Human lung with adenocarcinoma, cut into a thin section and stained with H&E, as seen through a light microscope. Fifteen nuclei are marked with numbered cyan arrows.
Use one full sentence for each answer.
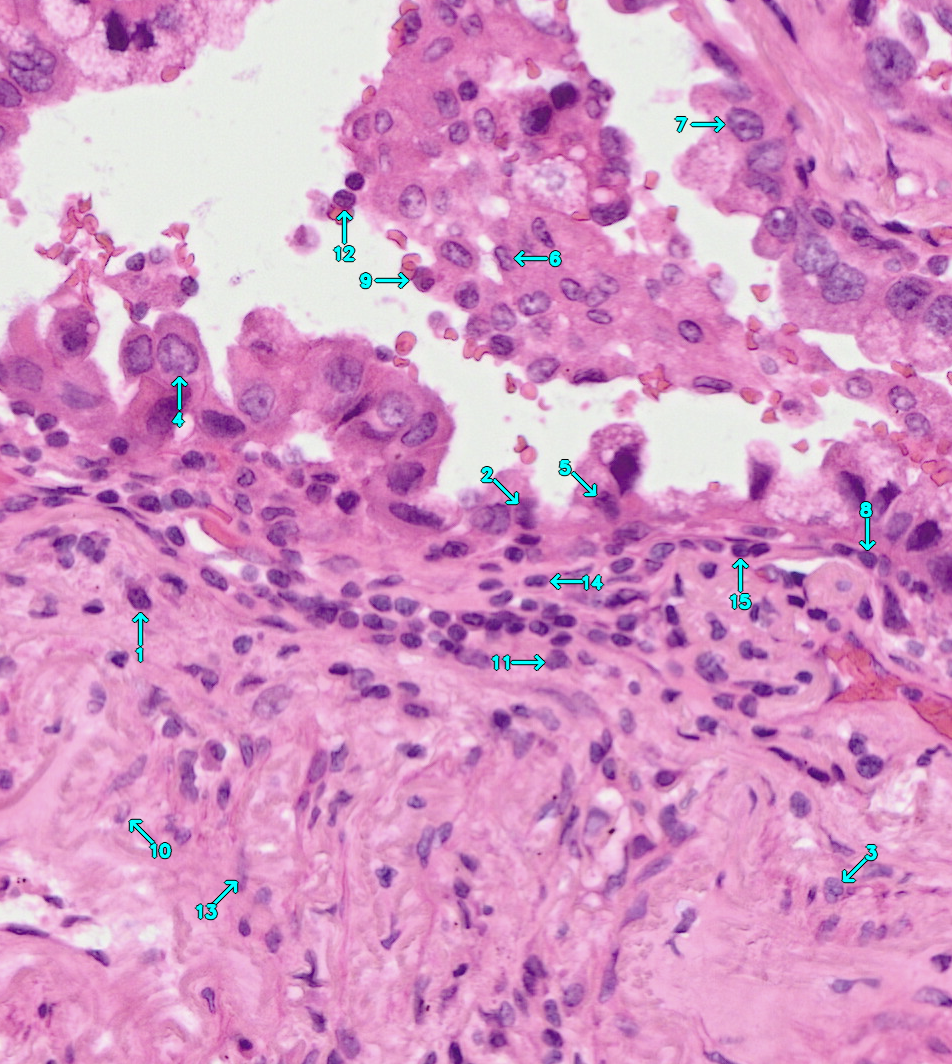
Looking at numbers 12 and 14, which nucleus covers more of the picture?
At about 1.5 times the area of nucleus 14, nucleus 12 is the larger of the two.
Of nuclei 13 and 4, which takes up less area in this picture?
With nucleus 4 about 3 times its size, nucleus 13 is the smaller of the two.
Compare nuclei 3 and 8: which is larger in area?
Nucleus 3 covers more area, about 1.5 times as much as nucleus 8.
